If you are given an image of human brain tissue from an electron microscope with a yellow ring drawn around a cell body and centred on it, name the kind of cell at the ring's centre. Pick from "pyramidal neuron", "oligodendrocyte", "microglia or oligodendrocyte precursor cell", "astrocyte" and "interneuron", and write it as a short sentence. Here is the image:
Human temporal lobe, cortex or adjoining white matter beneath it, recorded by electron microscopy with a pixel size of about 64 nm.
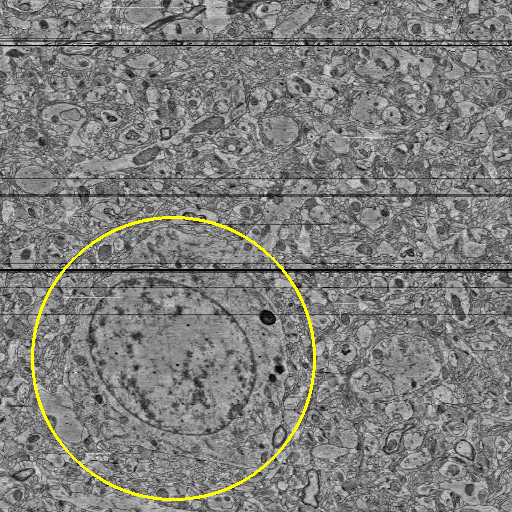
The cell at the ring's centre is a pyramidal neuron.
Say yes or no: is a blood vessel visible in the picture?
No.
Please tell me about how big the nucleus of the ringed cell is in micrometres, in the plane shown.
About 12 micrometres by about 9 micrometres in this plane.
